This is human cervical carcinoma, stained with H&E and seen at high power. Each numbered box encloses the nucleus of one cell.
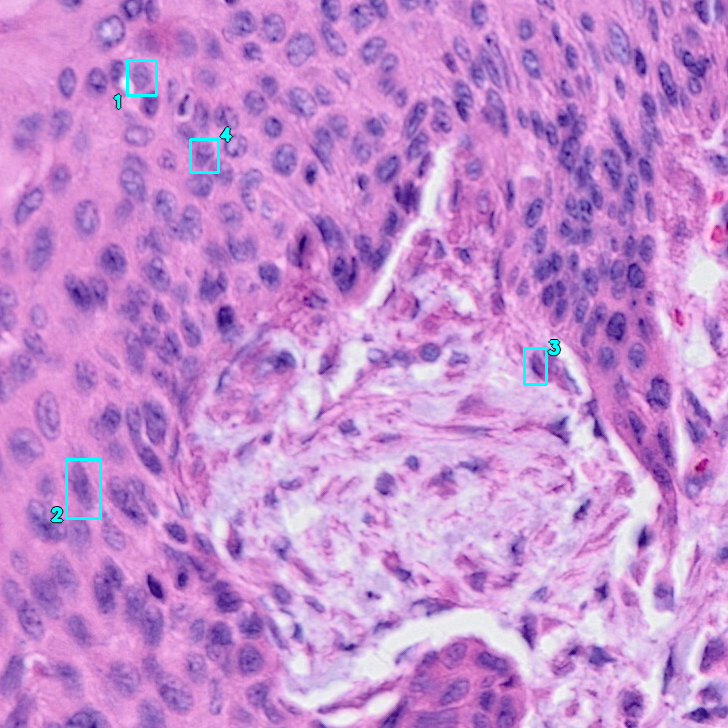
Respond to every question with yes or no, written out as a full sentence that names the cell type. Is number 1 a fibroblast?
No; cell 1 is a squamous carcinoma cell, not a fibroblast.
